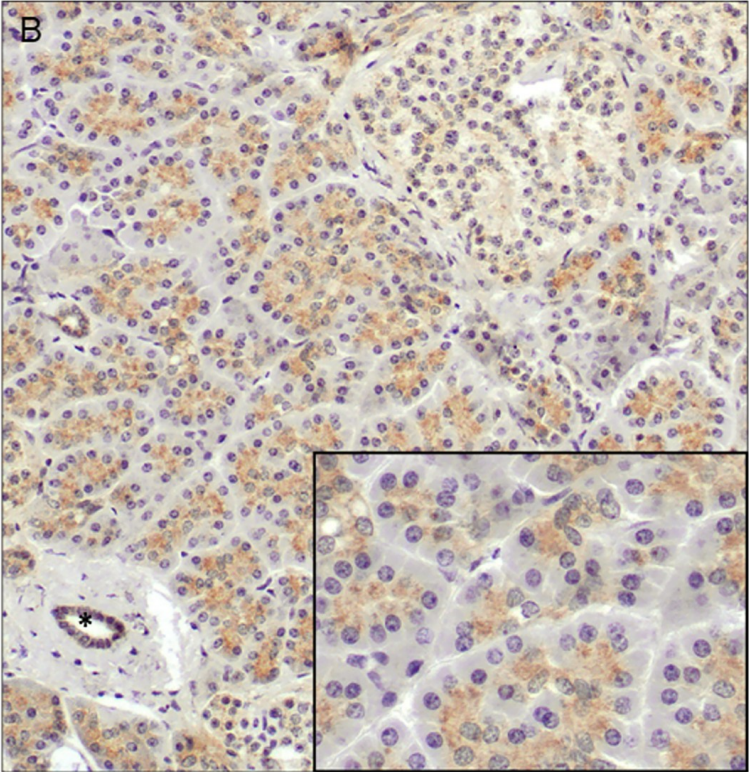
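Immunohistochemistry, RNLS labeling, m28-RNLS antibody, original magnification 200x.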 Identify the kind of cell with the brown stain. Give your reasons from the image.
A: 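Acinar cells. Brown granules fill the cytoplasm of cells grouped in rounded clusters. The stained cells are pyramidal with round basal nuclei around small central lumina. The paler cell cluster at upper right is largely free of brown granules.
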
